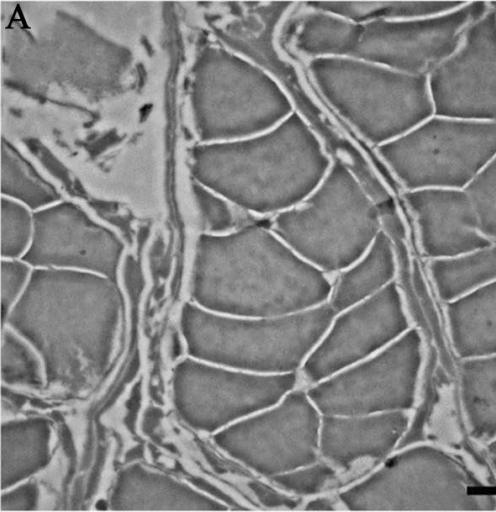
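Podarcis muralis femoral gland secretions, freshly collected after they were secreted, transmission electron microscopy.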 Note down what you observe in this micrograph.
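Rounded to polygonal dense grey masses are packed side by side like paving stones. Each mass is separated from its neighbours by a narrow pale gap, and the masses fall into elongated lobes. Between the lobes run broader bands of layered, streaky material.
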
